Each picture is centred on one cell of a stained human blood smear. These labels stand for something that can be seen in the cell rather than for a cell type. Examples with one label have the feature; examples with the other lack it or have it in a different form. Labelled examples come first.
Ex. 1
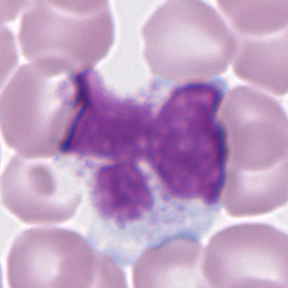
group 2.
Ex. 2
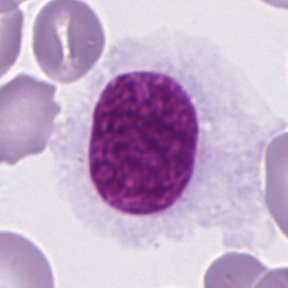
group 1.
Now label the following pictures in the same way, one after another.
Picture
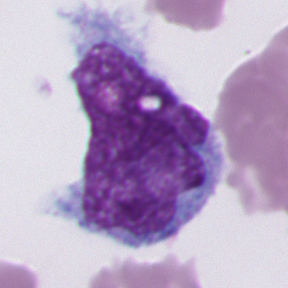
group 2.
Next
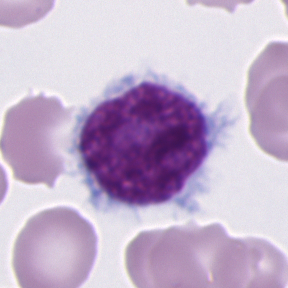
group 2.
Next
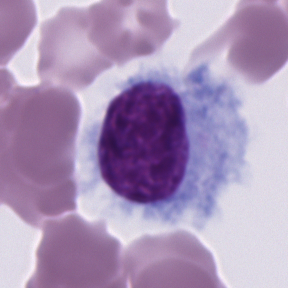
group 1.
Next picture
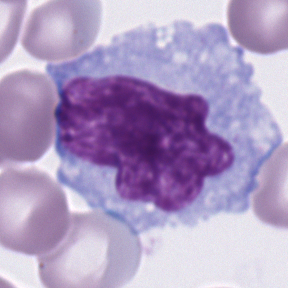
group 1.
